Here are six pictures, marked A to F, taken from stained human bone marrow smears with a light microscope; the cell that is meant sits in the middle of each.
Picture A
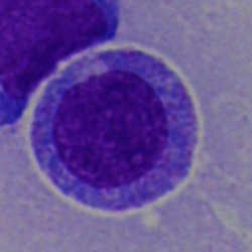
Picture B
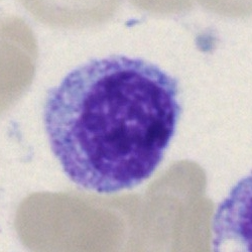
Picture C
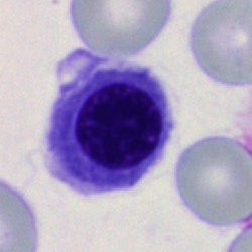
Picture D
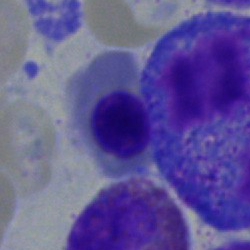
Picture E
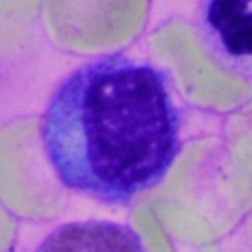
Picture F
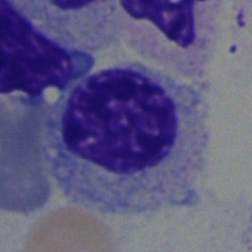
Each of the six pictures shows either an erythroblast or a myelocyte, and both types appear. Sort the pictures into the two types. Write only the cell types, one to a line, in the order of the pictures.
myelocyte
myelocyte
erythroblast
erythroblast
myelocyte
myelocyte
